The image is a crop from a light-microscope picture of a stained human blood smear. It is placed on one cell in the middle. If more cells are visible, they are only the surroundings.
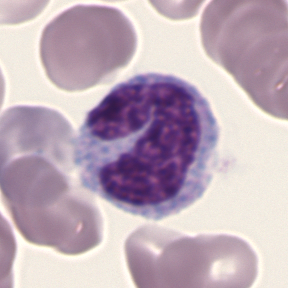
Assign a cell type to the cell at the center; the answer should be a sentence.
In short, the cell at the center is a monocyte.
